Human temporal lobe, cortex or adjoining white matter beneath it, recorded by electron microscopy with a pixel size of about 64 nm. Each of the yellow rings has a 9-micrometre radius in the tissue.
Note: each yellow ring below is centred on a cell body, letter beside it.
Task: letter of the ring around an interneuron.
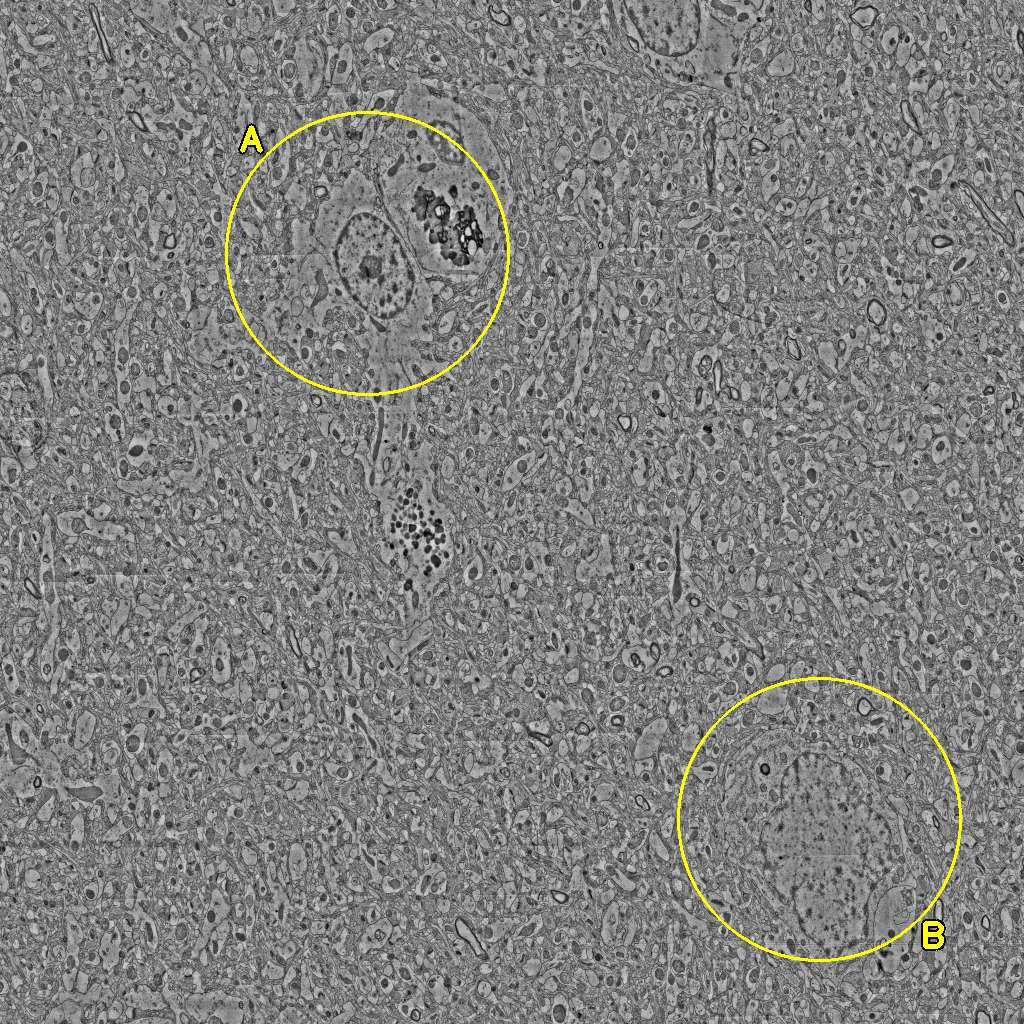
B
